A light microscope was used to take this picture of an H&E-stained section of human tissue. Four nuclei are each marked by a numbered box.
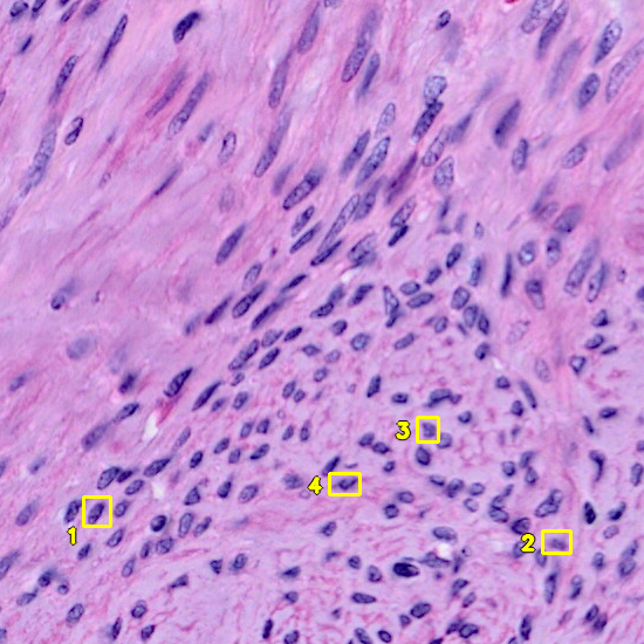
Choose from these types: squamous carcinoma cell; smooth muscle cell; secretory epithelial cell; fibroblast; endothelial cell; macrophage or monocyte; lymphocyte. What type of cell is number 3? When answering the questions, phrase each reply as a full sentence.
The marked cell with the number 3 is recognised as a smooth muscle cell.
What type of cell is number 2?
The mark numbered 2 indicates the nucleus of a smooth muscle cell.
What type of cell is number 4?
The cell pointed out as number 4 is a smooth muscle cell.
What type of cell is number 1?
The cell that bears the number 1 is a fibroblast.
